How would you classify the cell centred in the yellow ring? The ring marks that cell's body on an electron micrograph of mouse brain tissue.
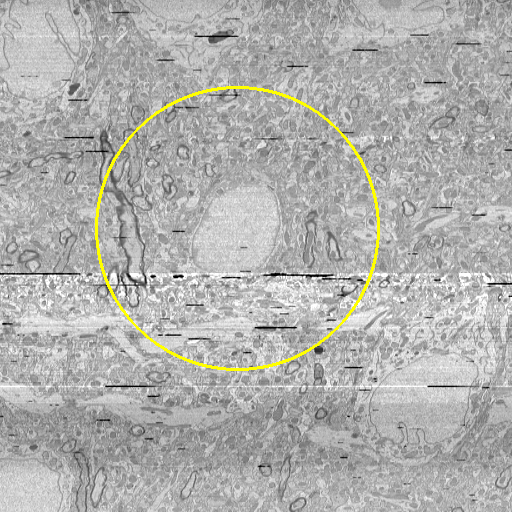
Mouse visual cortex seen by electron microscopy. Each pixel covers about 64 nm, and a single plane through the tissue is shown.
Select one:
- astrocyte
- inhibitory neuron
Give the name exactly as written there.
astrocyte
